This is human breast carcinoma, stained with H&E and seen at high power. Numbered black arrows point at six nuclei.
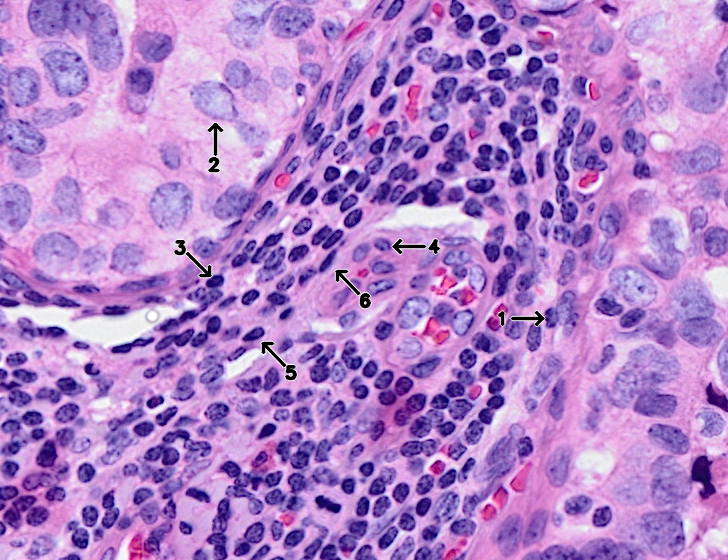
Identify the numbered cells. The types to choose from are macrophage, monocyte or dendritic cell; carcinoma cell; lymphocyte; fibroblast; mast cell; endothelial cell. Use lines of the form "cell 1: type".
cell 1: lymphocyte
cell 2: carcinoma cell
cell 3: lymphocyte
cell 4: endothelial cell
cell 5: lymphocyte
cell 6: lymphocyte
